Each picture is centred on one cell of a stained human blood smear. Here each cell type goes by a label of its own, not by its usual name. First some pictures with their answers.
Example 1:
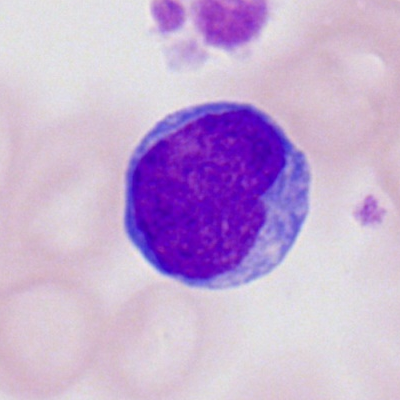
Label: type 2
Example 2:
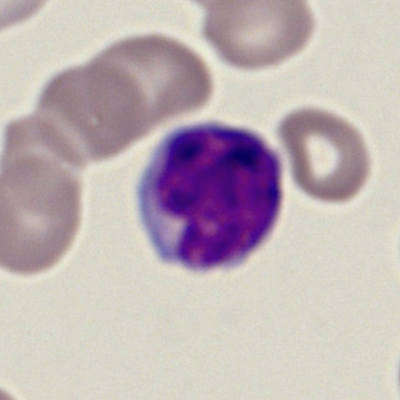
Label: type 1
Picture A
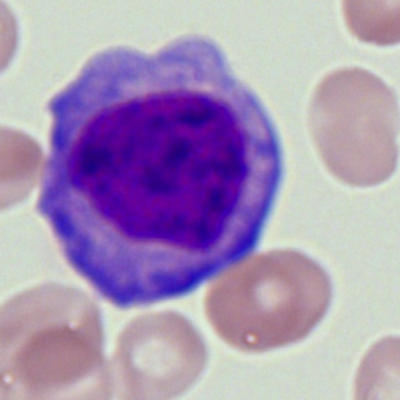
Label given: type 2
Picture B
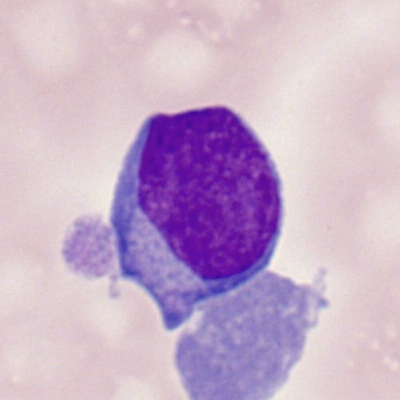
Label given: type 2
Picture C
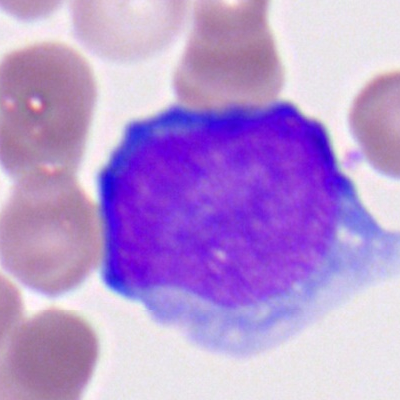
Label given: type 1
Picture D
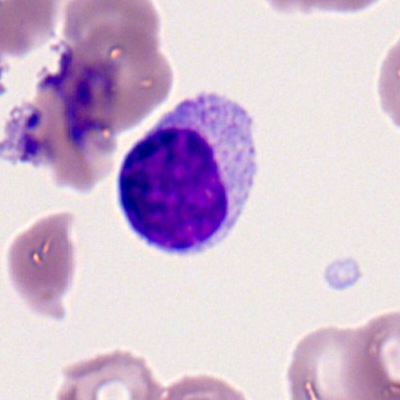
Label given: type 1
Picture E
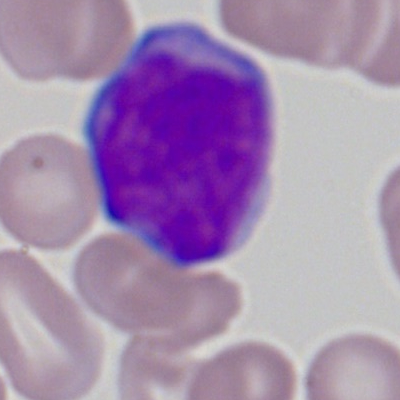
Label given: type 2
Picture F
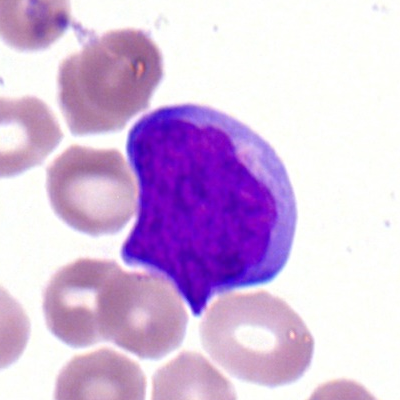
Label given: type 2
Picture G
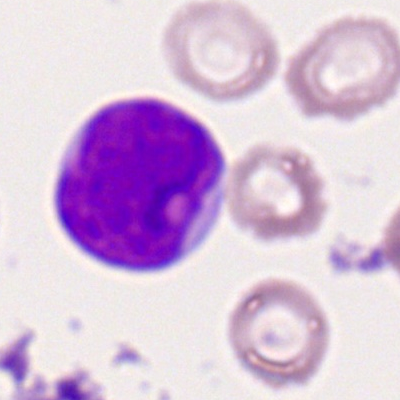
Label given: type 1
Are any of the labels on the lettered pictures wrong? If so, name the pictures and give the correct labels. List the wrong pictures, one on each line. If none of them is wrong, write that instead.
C: change type 1 to type 2
G: change type 1 to type 2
